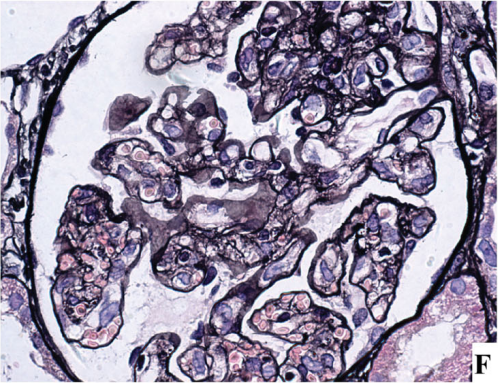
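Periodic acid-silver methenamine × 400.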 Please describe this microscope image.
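Capillary loops are outlined by black silver-stained basement membranes and are filled with cells and nuclei rather than open lumens. A thick black Bowman's capsule surrounds a clear, empty Bowman's space.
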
